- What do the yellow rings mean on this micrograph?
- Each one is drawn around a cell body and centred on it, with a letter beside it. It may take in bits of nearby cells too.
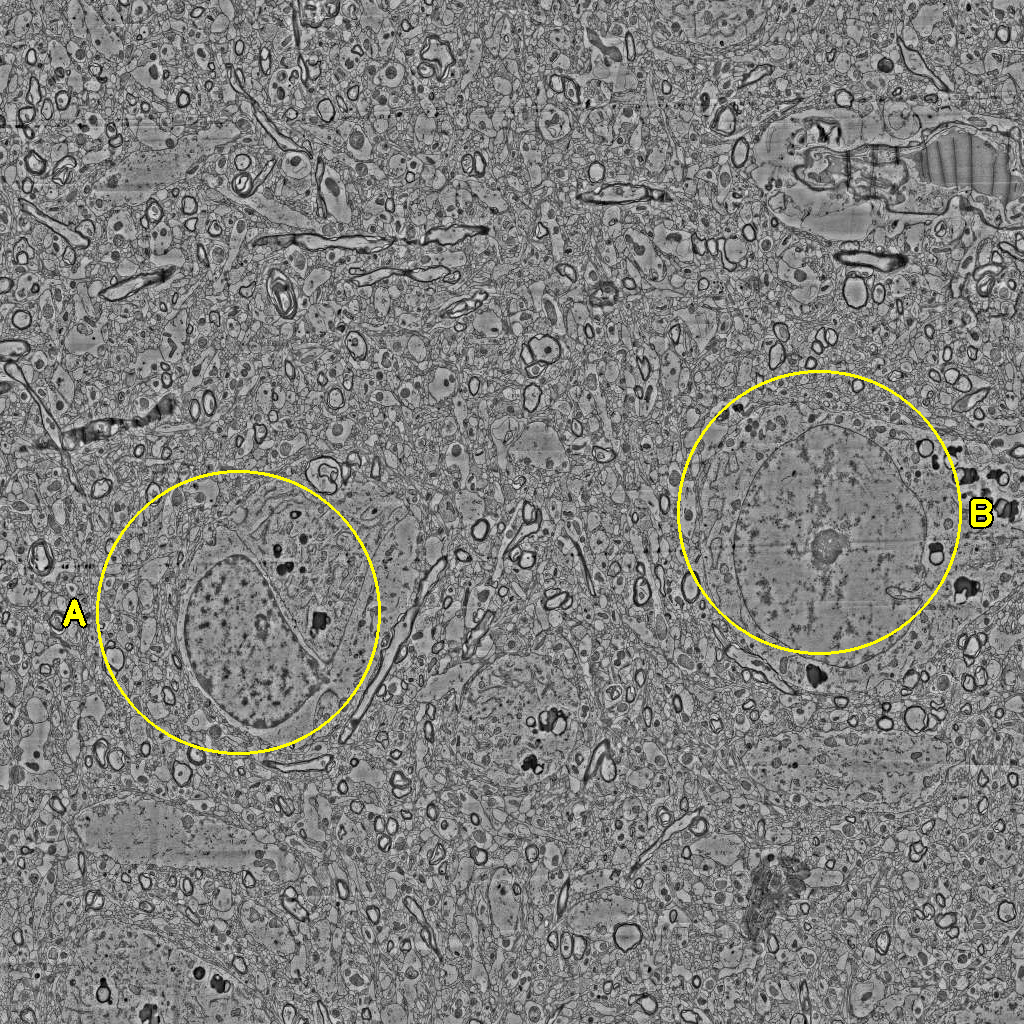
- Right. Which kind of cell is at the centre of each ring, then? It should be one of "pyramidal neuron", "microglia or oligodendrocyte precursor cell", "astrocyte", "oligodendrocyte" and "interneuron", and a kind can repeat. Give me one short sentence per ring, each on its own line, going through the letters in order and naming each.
Ring A circles the cell body of a microglial cell or oligodendrocyte precursor cell.
Ring B circles the cell body of a pyramidal neuron.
